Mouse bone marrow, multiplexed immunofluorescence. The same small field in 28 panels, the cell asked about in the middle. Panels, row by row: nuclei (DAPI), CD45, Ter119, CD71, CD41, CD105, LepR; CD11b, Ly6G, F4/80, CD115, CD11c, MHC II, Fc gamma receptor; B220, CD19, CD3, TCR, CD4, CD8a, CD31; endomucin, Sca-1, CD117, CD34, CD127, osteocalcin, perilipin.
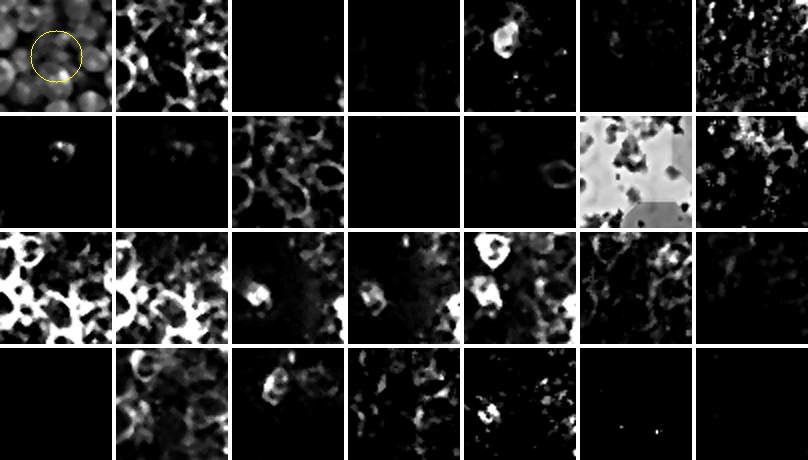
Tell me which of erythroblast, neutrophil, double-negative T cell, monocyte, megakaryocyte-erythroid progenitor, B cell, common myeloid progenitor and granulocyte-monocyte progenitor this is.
The picture shows a B cell.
